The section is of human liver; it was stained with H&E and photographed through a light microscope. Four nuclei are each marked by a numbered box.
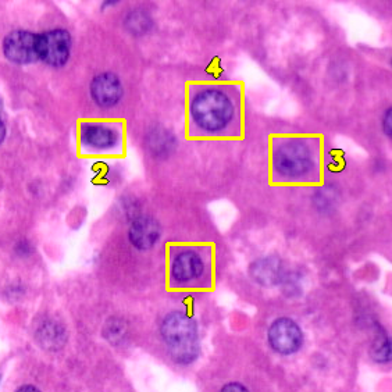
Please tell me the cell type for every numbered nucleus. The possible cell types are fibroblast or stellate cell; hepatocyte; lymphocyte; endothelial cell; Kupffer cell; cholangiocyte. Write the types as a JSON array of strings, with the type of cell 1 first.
["hepatocyte", "Kupffer cell", "hepatocyte", "hepatocyte"]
